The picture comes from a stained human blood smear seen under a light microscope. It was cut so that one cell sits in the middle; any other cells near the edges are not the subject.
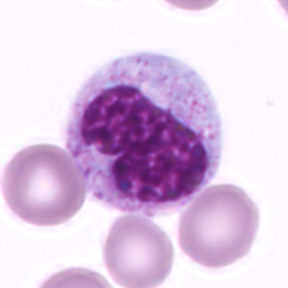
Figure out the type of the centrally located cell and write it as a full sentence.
The cell nearest the centre of this crop is a band neutrophil.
